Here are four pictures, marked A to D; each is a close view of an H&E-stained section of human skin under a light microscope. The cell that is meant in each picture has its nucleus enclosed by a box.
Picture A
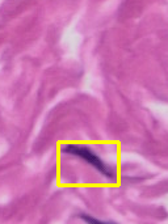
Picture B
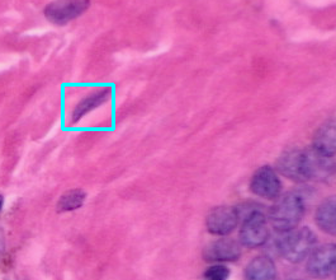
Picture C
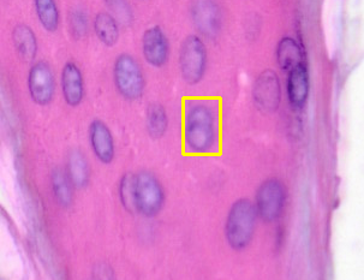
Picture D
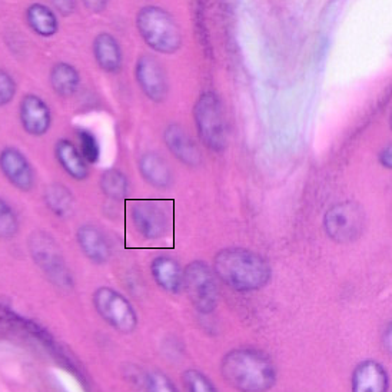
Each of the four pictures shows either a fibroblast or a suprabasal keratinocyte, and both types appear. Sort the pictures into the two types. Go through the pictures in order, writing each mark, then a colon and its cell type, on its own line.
A: fibroblast
B: fibroblast
C: suprabasal keratinocyte
D: suprabasal keratinocyte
